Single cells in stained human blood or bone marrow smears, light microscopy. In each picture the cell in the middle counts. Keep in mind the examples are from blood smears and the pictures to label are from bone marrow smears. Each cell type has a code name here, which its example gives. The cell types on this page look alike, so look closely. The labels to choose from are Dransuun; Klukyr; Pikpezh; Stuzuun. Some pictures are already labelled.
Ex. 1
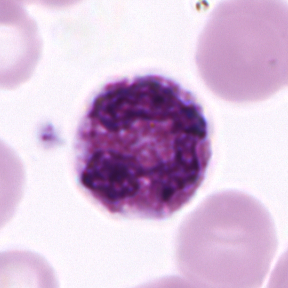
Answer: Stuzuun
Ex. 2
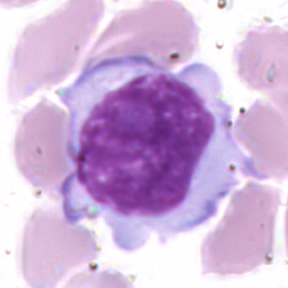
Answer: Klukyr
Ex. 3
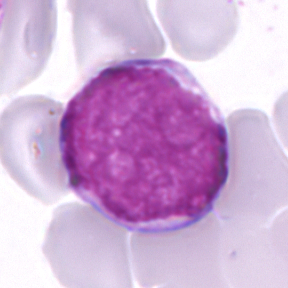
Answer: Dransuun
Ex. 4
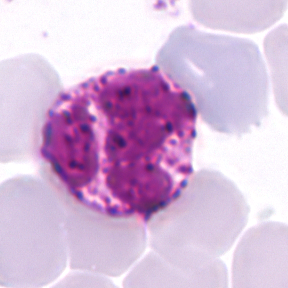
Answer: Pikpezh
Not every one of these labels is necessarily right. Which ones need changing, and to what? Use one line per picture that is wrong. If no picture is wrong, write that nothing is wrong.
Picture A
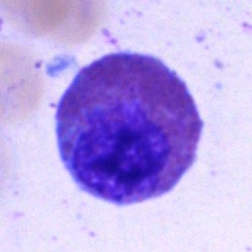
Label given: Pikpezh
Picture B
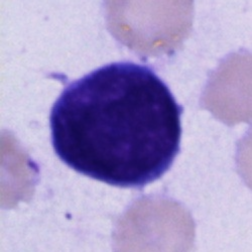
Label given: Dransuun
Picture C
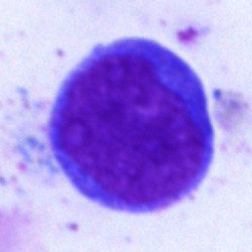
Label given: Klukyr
A: Stuzuun, not Pikpezh
C: Dransuun, not Klukyr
